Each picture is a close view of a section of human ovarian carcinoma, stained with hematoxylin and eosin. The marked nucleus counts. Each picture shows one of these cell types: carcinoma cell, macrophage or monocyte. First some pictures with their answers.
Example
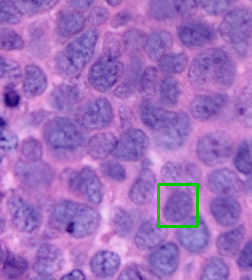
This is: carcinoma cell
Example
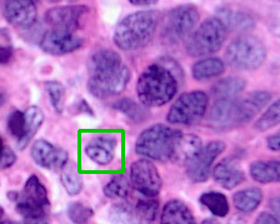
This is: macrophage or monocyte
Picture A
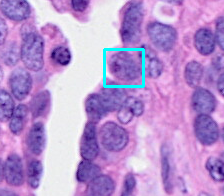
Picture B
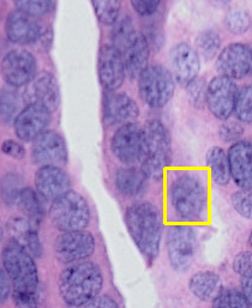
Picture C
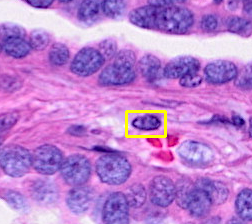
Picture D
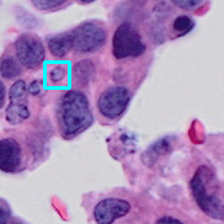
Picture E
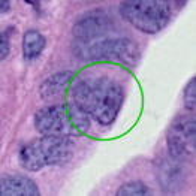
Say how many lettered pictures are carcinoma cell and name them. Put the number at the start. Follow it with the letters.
3, namely A, B, E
